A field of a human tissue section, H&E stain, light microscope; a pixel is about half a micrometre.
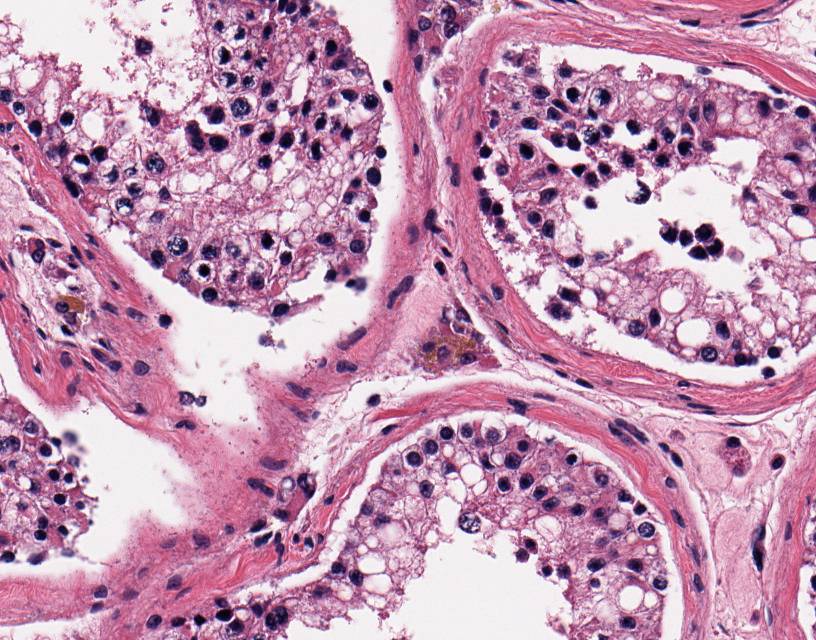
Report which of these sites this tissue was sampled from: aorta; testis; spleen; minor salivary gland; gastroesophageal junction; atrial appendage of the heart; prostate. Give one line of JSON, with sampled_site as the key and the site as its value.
{"sampled_site": "testis"}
